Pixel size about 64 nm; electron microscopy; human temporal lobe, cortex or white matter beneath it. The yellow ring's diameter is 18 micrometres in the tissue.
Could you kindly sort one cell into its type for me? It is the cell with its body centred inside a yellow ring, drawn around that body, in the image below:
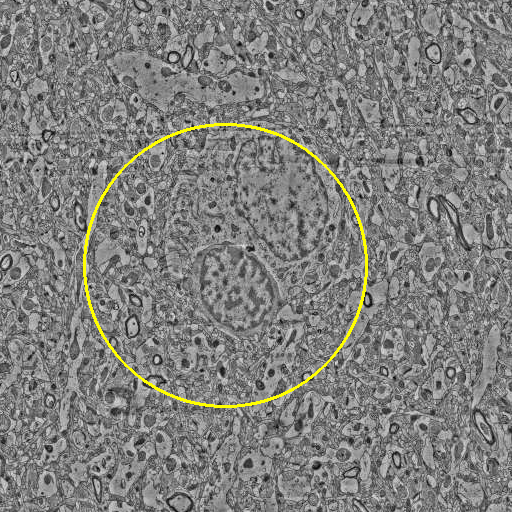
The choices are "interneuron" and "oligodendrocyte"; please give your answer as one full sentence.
The cell whose body lies centred in the yellow ring here is an oligodendrocyte.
